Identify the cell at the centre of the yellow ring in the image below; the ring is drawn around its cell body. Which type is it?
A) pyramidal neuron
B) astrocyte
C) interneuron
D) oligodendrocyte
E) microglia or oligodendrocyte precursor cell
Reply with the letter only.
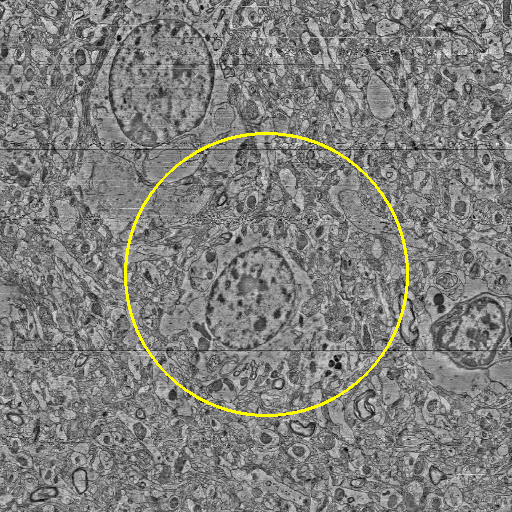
B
